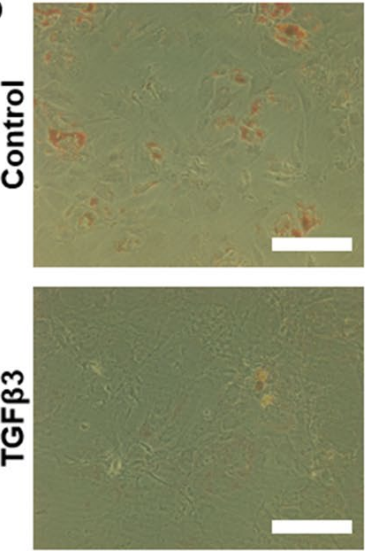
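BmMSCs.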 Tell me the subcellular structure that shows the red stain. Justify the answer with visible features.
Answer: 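Red-orange stained droplet clusters sit inside the cytoplasm of scattered cells. The surrounding flat cells are unstained. On this evidence: Lipid vesicles.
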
